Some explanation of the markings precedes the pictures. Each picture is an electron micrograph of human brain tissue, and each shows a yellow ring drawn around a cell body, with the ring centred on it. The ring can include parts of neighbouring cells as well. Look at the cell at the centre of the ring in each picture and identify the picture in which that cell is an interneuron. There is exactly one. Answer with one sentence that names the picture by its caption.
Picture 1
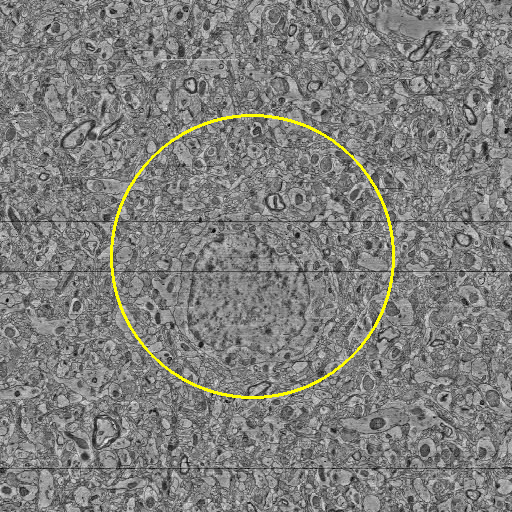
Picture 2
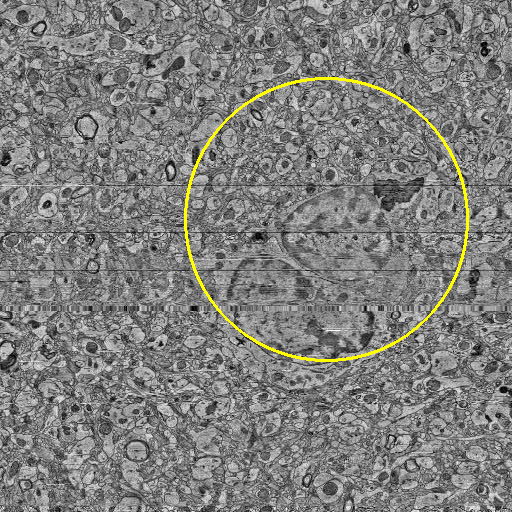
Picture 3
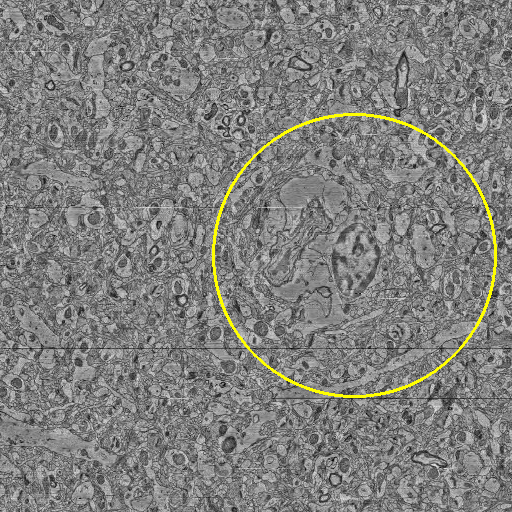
In Picture 1, the cell at the centre of the ring is of that kind.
